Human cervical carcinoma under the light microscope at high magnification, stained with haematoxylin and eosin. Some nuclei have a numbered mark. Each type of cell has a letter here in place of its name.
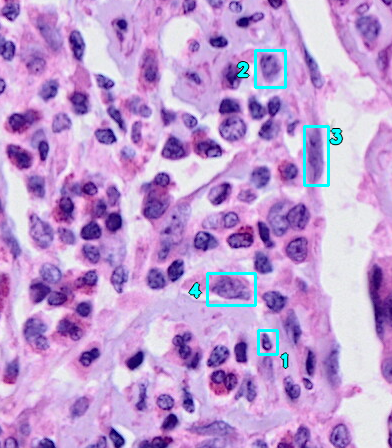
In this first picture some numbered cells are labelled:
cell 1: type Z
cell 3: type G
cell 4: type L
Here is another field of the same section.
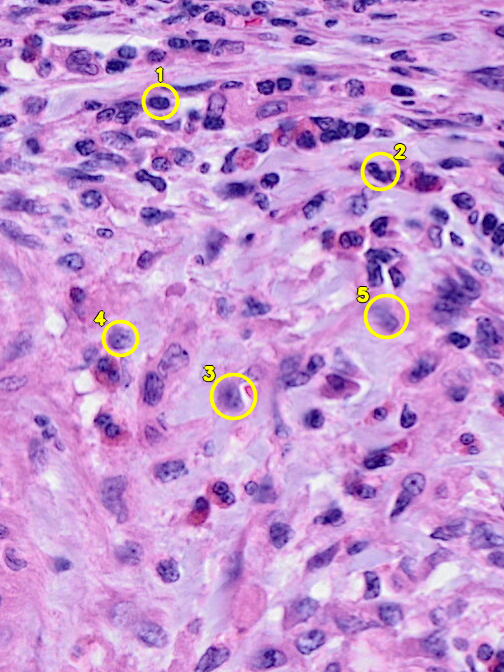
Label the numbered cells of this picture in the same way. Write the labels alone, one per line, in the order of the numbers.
type Z
type Z
type G
type L
type G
